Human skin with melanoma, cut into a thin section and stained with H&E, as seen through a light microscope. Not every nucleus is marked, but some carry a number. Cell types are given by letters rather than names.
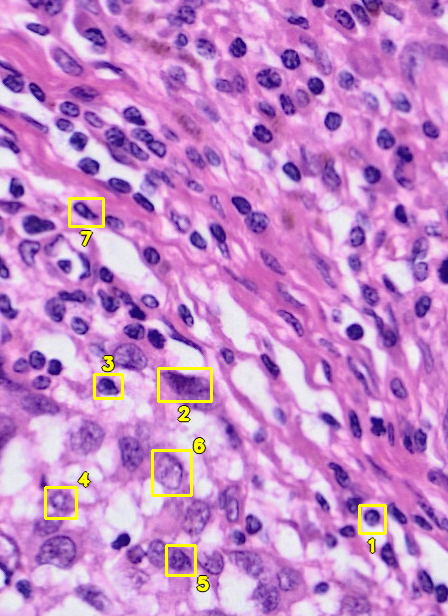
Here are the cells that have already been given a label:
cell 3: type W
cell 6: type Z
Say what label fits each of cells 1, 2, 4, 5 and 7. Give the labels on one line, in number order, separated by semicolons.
type W; type Z; type Z; type Z; type W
